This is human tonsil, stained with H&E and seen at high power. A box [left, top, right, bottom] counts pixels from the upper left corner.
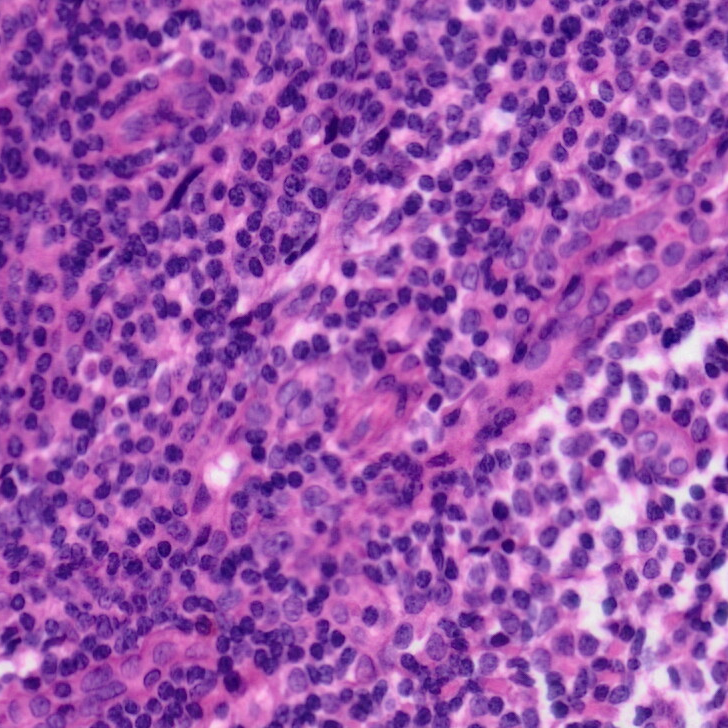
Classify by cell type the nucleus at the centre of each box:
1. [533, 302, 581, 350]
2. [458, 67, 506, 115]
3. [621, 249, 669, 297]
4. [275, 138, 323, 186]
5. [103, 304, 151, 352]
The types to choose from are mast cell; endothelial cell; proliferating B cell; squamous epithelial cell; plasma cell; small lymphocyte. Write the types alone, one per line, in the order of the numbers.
endothelial cell
small lymphocyte
endothelial cell
plasma cell
small lymphocyte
